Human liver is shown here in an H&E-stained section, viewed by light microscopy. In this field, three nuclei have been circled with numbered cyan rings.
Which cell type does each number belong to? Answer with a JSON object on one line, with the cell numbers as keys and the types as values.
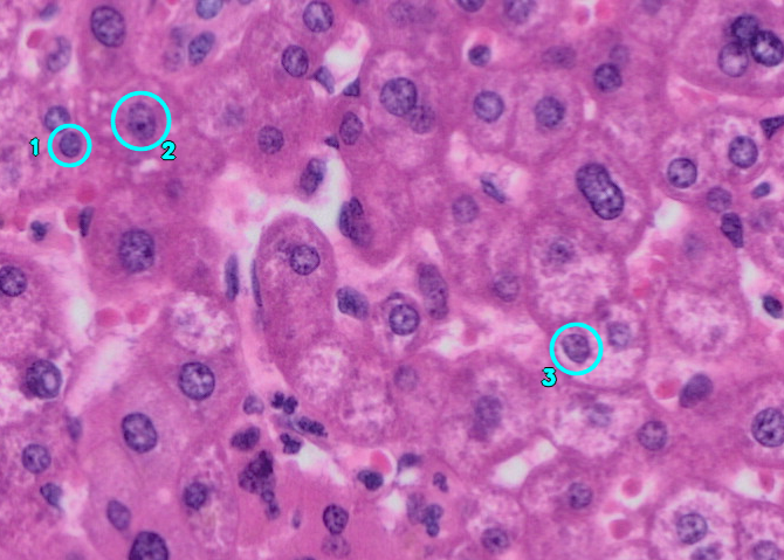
{"1": "cholangiocyte", "2": "hepatocyte", "3": "hepatocyte"}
